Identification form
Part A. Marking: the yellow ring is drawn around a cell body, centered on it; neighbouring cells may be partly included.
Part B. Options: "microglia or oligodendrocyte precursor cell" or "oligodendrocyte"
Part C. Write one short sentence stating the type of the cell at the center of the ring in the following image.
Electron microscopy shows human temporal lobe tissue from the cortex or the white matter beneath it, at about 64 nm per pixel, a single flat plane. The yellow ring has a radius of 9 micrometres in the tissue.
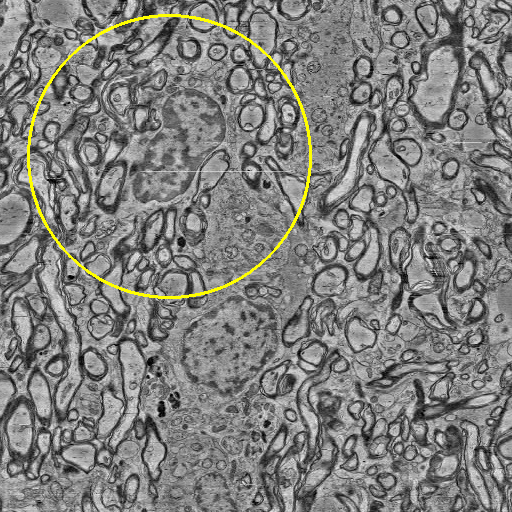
The center of the ring holds a microglial cell or oligodendrocyte precursor cell.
